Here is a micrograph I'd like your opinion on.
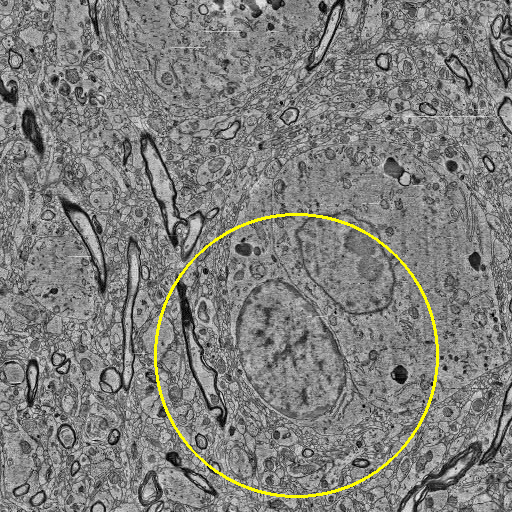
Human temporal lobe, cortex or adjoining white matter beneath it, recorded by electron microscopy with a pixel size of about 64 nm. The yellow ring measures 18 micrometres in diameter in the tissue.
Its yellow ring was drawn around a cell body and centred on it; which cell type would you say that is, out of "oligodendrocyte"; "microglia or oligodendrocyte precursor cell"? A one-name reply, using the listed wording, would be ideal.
microglia or oligodendrocyte precursor cell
